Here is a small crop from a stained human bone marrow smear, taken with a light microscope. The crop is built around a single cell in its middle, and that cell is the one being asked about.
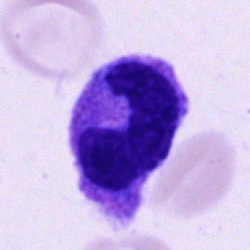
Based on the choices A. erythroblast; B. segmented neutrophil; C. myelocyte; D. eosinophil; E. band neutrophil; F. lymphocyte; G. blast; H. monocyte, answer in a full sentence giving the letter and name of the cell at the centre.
The cell right in the middle is a band neutrophil, so option E is the one.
